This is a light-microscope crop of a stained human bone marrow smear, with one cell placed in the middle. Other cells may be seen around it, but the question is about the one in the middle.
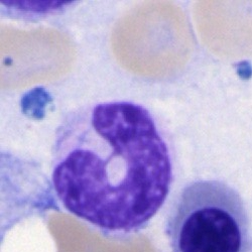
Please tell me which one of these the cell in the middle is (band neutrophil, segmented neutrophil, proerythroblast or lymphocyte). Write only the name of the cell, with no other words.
band neutrophil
